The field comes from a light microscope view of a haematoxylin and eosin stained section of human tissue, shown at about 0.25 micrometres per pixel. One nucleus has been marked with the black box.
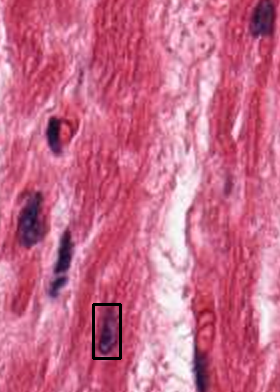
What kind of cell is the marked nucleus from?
cardiomyocyte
